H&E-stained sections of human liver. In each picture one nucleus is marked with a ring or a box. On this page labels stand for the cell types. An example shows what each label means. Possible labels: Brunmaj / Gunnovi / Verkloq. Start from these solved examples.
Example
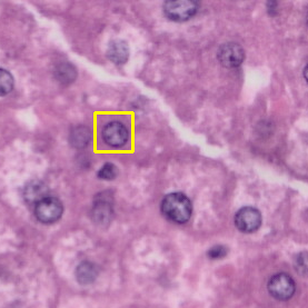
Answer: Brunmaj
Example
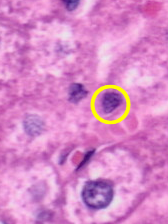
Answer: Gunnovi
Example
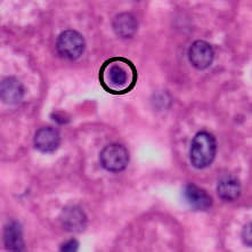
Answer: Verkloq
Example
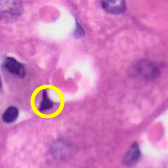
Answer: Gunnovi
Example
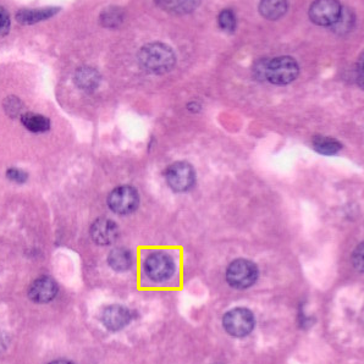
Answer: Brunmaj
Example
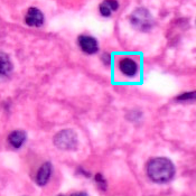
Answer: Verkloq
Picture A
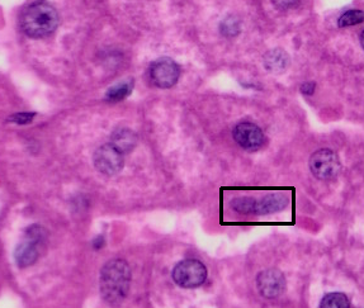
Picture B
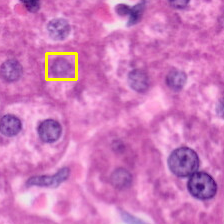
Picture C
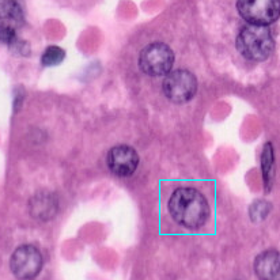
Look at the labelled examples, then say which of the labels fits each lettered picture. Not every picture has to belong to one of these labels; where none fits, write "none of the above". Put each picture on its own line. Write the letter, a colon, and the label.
A: none of the above
B: Brunmaj
C: Brunmaj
